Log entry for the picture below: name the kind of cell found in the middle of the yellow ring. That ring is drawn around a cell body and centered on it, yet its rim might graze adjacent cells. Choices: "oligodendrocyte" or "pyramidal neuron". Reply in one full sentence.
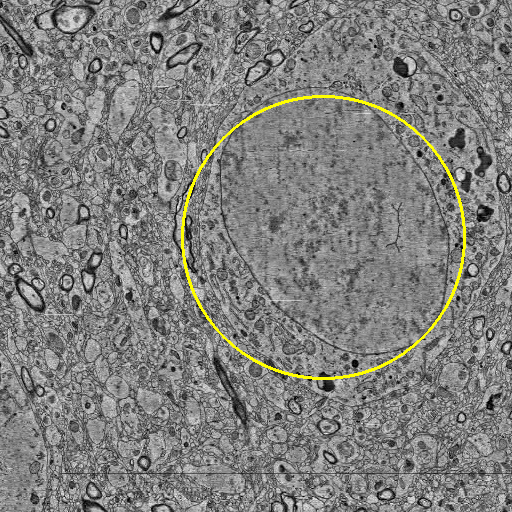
The cell in the middle of the yellow ring in this picture is a pyramidal neuron.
